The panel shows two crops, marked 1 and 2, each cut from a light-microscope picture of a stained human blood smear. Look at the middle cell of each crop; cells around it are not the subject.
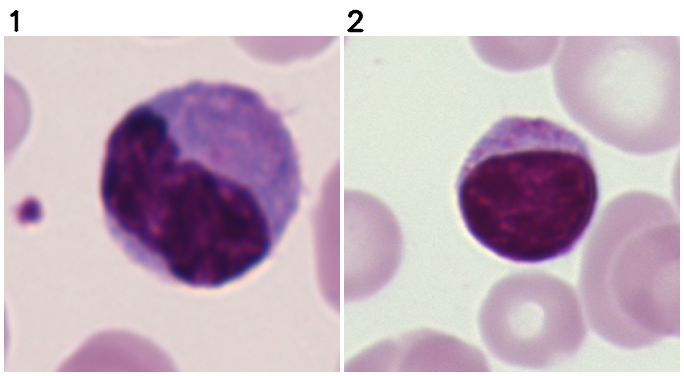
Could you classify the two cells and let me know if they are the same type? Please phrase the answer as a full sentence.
No, look again: crop 1 shows a monocyte, and crop 2 shows a large granular lymphocyte.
